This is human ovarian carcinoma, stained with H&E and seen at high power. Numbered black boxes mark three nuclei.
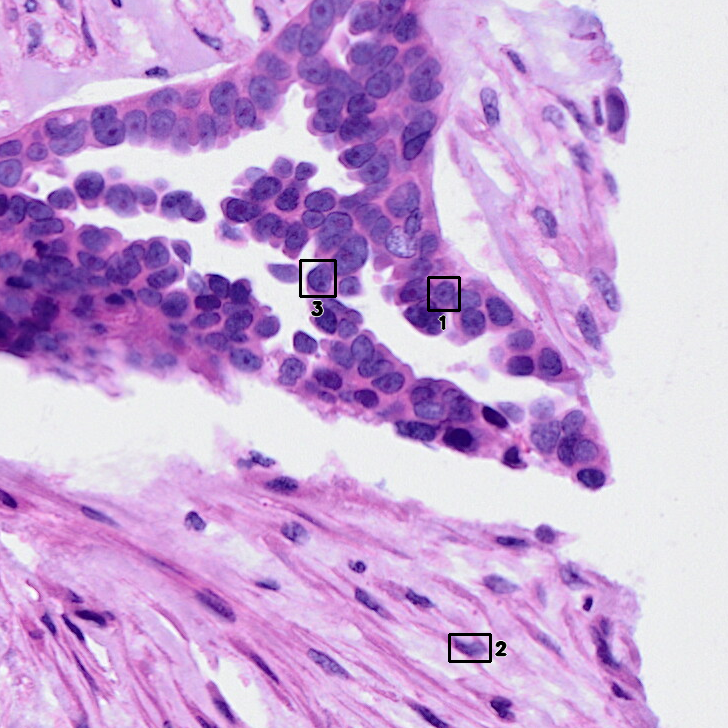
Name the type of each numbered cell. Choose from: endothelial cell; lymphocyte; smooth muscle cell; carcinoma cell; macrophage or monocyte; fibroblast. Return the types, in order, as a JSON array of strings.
["carcinoma cell", "fibroblast", "carcinoma cell"]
